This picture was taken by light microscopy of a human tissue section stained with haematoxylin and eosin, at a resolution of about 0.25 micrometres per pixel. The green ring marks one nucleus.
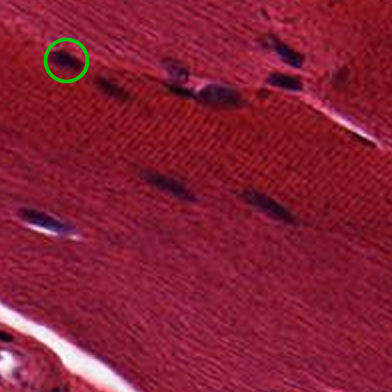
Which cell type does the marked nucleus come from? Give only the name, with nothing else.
skeletal muscle fibre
